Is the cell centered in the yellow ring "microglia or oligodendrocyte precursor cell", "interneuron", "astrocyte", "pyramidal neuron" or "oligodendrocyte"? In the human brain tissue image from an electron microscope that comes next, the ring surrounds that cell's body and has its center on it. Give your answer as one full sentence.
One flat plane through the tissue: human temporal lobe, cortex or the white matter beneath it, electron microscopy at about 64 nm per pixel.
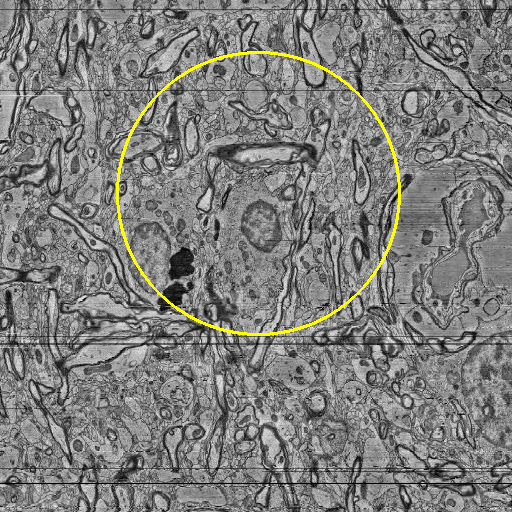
The cell at the center of the yellow ring is an oligodendrocyte in the micrograph.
